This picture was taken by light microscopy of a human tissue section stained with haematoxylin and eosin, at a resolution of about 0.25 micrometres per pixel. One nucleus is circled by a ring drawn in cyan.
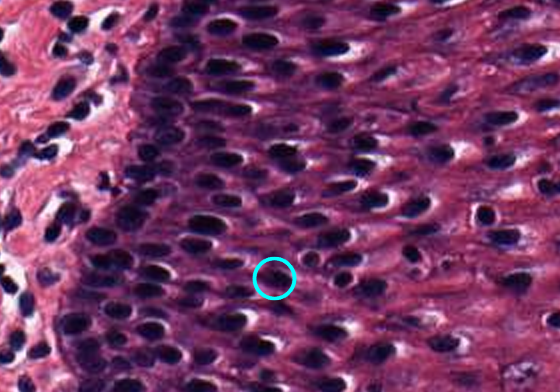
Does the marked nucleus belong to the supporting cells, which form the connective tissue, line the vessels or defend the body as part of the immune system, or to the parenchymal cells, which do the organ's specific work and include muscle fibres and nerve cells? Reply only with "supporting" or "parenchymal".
parenchymal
